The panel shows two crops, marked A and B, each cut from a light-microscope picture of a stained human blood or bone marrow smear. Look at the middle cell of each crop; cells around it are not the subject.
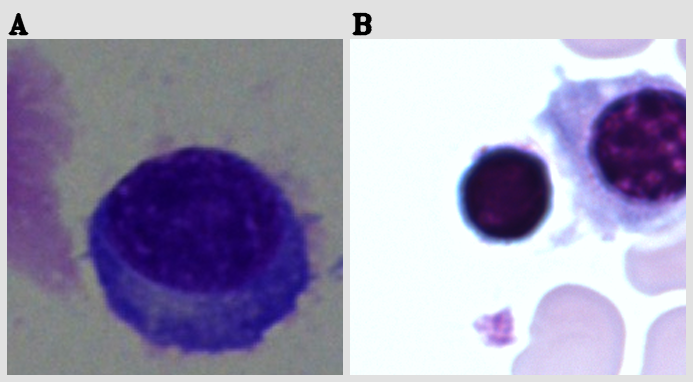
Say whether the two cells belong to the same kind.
no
